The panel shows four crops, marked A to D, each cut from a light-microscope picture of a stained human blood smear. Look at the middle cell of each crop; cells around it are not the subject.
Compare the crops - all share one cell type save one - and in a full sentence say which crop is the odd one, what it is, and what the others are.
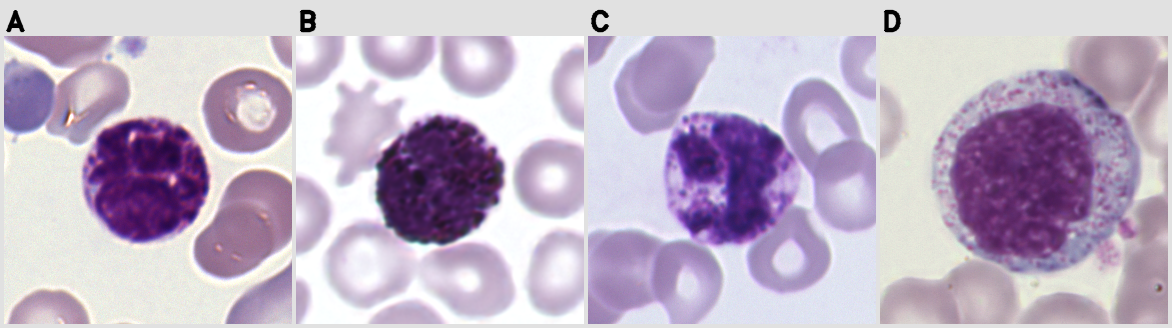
Crop D is the only crop with a promyelocyte, the others all showing basophils.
